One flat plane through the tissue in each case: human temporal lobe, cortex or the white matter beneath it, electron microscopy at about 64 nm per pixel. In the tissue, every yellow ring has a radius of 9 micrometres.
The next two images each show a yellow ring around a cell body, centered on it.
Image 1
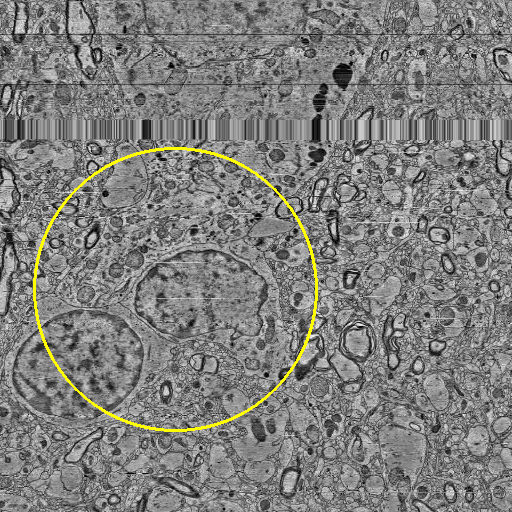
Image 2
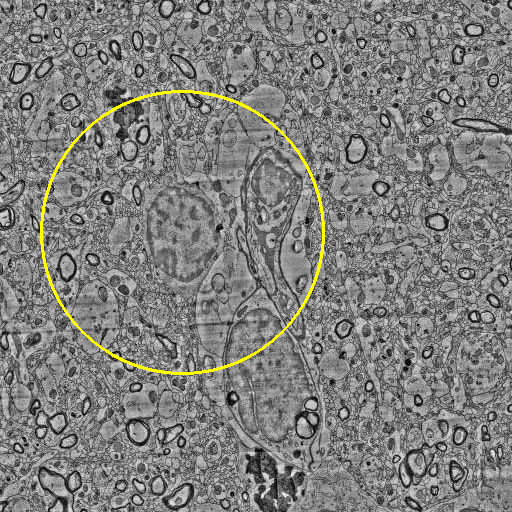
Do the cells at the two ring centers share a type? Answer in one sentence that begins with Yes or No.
No, across the two images the cells at the ring centers are of two types.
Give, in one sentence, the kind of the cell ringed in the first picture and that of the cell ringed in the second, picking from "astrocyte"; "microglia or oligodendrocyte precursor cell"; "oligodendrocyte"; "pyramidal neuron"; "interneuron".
For the first picture it is a microglial cell or oligodendrocyte precursor cell; for the second, an oligodendrocyte.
